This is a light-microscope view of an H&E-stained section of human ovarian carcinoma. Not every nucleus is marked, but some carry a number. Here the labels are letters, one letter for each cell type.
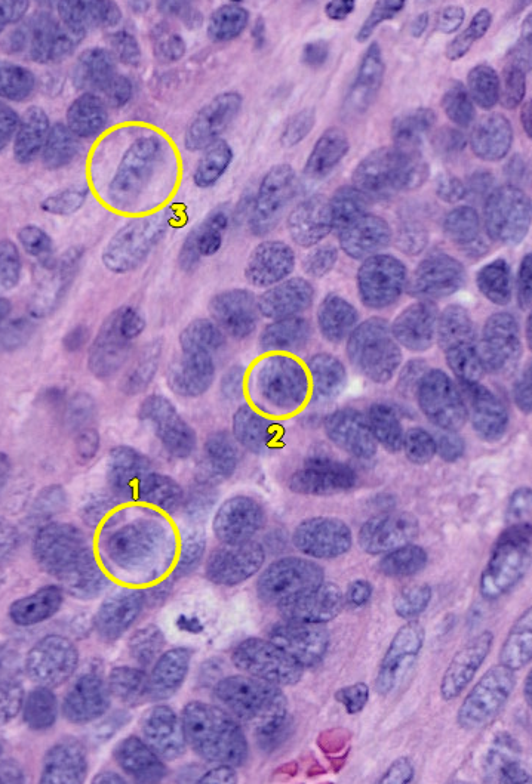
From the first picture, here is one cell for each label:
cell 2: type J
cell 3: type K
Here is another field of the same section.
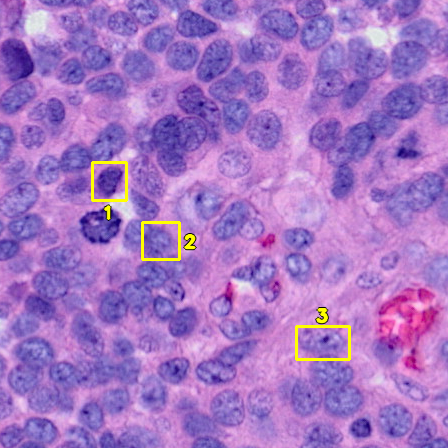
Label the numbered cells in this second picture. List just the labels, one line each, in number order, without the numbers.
type J
type J
type K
